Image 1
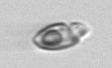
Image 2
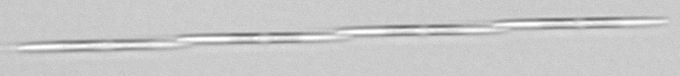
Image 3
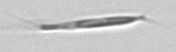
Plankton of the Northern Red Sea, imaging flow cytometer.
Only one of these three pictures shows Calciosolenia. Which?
Picture 3.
